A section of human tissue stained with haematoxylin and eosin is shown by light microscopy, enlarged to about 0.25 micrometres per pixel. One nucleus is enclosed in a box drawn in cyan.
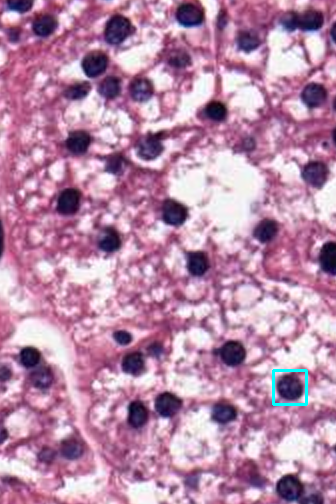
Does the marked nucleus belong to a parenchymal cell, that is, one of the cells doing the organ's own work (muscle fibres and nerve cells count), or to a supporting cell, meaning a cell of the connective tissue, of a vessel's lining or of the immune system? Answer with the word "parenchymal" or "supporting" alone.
parenchymal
